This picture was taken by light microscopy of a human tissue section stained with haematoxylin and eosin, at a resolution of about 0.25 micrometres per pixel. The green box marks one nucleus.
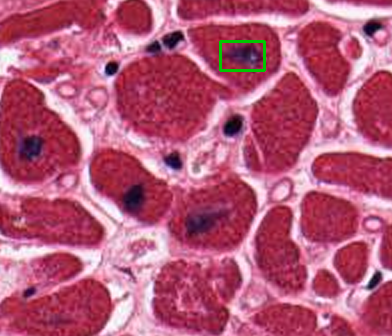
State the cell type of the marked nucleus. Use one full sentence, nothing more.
The marked nucleus belongs to a cardiomyocyte.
